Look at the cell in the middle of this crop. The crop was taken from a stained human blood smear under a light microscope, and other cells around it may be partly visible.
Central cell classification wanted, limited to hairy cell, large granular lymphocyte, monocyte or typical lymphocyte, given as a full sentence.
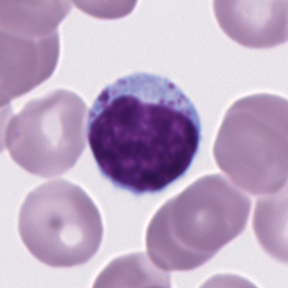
The crop's centre is taken up by a large granular lymphocyte.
